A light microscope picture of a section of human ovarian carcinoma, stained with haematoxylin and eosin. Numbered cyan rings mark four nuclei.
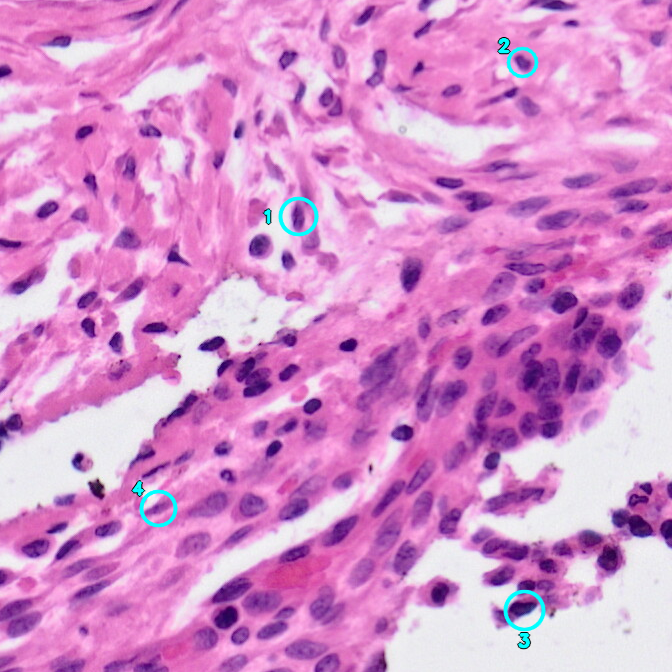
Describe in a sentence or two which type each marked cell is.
Cell 1 is a fibroblast, cell 2 is a fibroblast, cell 3 is a carcinoma cell and cell 4 is a fibroblast.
